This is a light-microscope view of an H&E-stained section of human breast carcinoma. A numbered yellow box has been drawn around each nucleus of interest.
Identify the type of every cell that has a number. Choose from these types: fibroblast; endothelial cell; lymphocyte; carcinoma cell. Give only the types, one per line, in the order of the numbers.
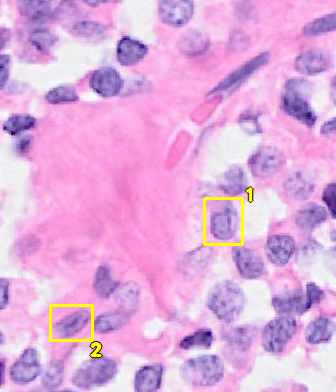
carcinoma cell
endothelial cell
